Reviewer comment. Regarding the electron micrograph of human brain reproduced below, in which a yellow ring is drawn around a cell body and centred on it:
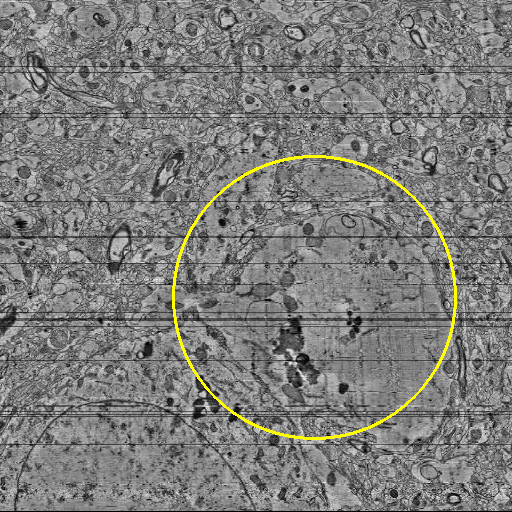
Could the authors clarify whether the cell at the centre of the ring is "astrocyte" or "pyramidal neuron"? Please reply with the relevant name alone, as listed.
astrocyte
